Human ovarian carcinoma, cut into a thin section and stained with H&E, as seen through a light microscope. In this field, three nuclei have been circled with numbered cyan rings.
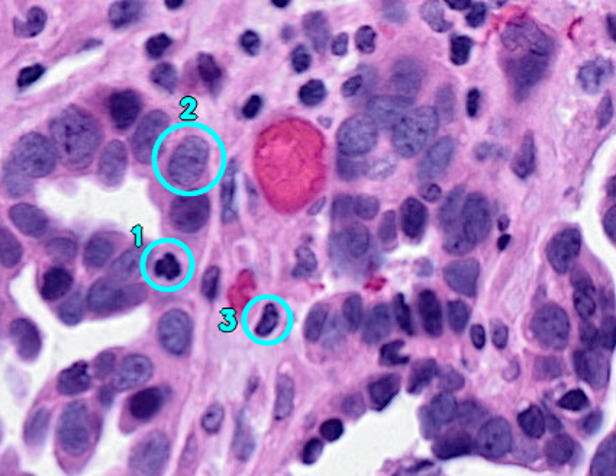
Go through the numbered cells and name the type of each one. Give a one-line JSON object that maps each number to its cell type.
{"1": "lymphocyte", "2": "carcinoma cell", "3": "lymphocyte"}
